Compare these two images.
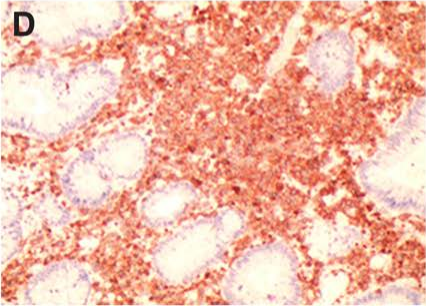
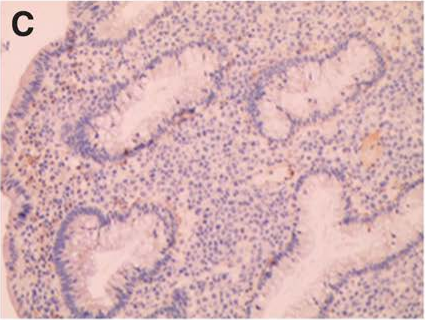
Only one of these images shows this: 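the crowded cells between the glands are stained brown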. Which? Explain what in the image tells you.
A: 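The first image. First image: the cells between the glands are heavily brown, filling the space around the glands.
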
